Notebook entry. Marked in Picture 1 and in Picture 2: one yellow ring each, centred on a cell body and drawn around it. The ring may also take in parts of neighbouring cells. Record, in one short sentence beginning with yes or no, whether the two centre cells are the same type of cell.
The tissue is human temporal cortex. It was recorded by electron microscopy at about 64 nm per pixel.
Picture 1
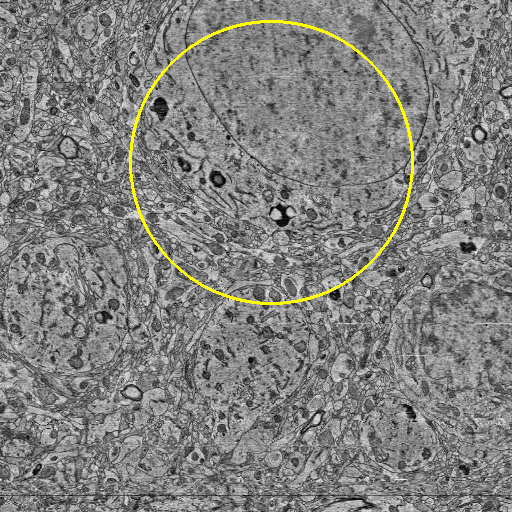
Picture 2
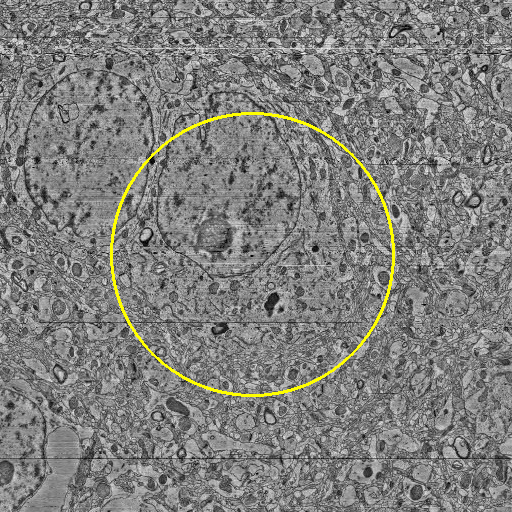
Yes, both are the same type of cell.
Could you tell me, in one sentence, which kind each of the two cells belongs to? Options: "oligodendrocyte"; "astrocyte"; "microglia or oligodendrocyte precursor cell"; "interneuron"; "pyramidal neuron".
In each of the two pictures, the ringed cell is a pyramidal neuron.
